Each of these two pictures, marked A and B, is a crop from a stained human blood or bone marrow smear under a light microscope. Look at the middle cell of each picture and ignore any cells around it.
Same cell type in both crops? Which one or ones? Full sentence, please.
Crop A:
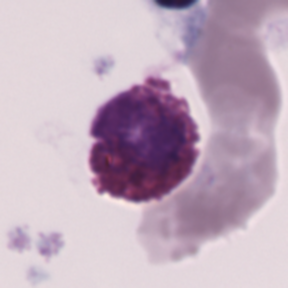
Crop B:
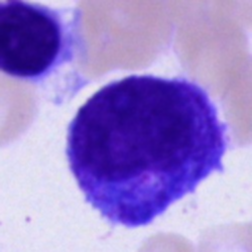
No, it is an eosinophil in crop A and a promyelocyte in crop B.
